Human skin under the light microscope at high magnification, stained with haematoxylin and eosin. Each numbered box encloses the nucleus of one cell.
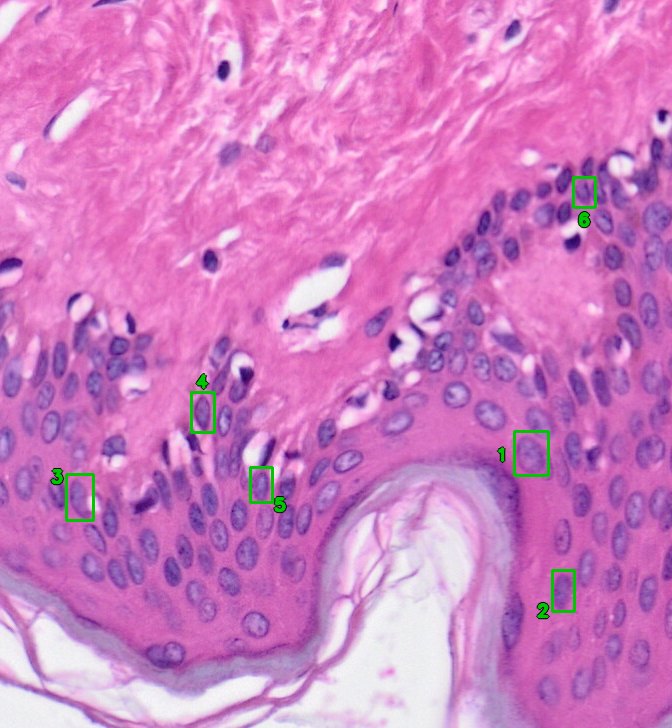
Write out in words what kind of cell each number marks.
Cell 1 is a suprabasal keratinocyte, cell 2 is a suprabasal keratinocyte, cell 3 is a basal keratinocyte, cell 4 is a basal keratinocyte, cell 5 is a basal keratinocyte and cell 6 is a basal keratinocyte.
